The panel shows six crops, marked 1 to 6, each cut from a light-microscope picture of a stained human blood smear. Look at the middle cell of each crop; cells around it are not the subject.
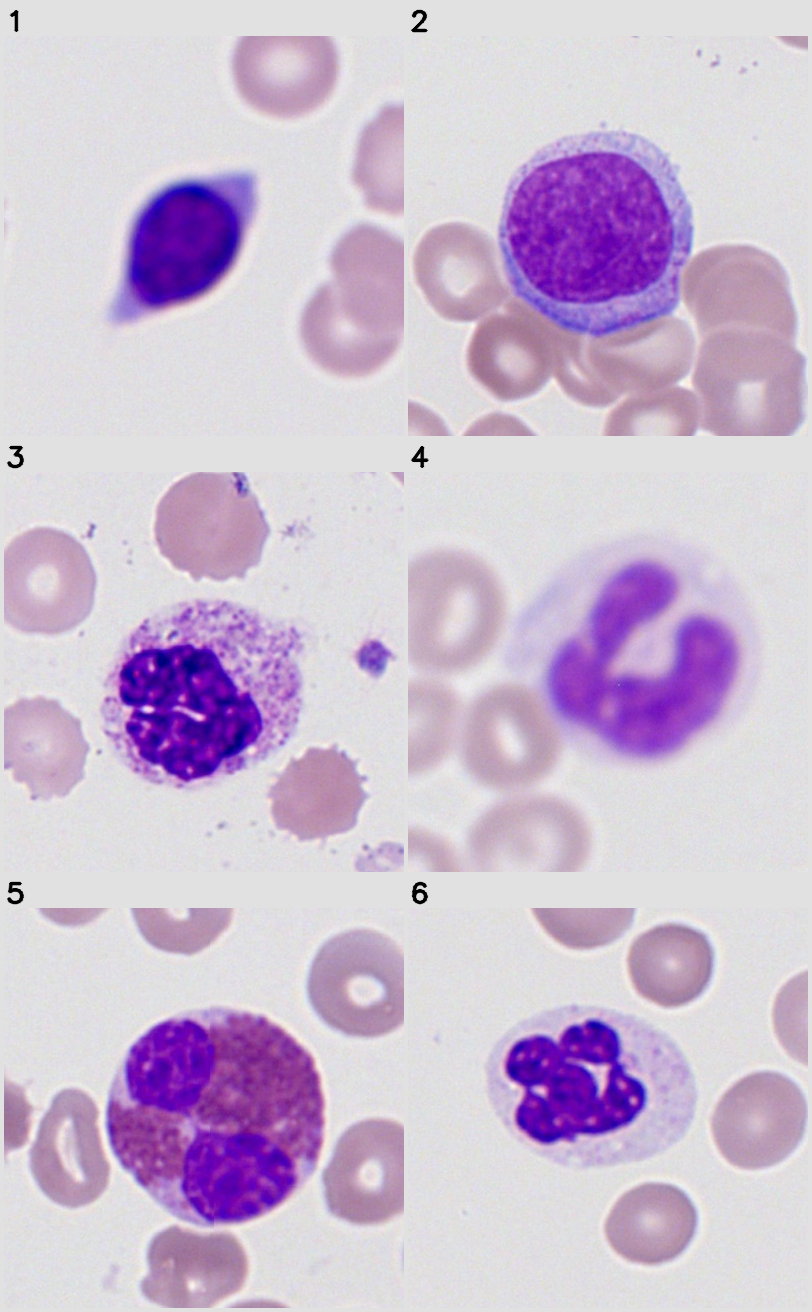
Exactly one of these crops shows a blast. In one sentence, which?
The crop with a blast in it is crop 2.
